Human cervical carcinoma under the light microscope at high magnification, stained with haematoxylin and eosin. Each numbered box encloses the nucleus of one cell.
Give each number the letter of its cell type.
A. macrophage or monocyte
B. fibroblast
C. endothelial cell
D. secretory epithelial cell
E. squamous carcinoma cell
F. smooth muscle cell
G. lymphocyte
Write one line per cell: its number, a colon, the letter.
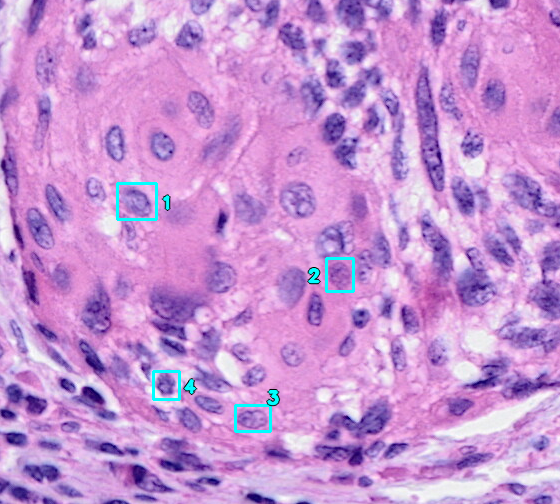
1: E
2: E
3: E
4: G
